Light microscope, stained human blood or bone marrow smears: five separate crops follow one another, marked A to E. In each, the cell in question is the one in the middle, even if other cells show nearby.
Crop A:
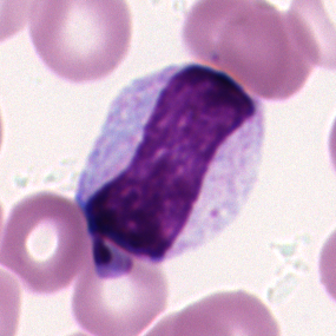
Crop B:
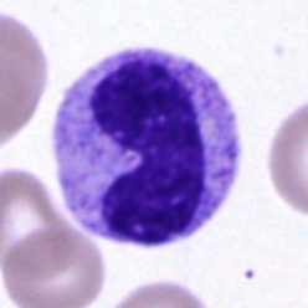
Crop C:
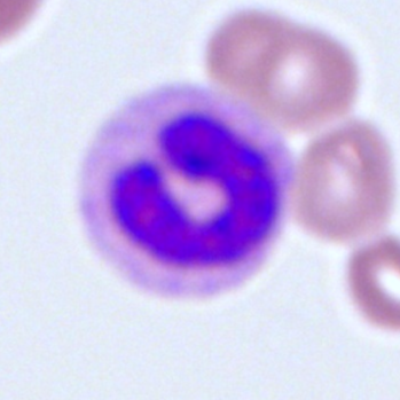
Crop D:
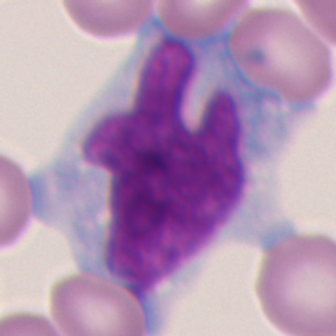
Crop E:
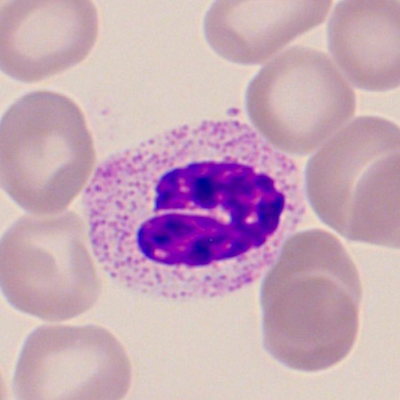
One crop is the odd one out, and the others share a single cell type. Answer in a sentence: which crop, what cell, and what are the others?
Every crop but one shows band neutrophils; the exception, crop D, shows a monocyte.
